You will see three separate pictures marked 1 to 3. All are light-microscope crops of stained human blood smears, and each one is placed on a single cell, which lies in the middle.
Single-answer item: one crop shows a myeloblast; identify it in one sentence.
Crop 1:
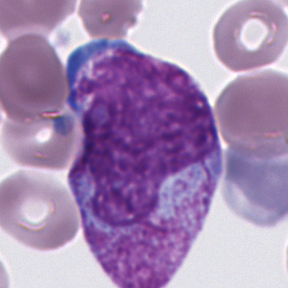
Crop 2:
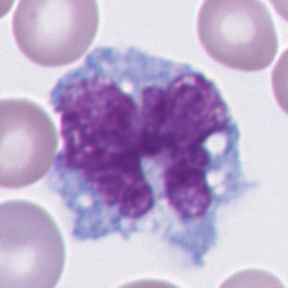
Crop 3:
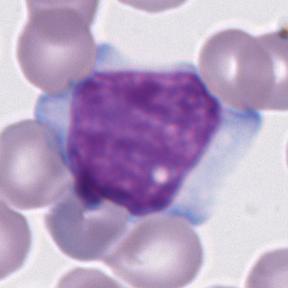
The one showing a myeloblast is the crop labelled 3.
